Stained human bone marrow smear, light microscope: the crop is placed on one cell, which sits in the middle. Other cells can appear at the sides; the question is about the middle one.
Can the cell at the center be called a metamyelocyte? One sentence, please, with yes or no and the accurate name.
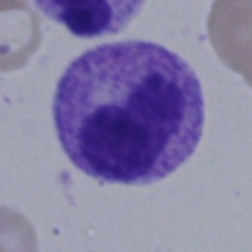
Yes, the cell in the centre is a metamyelocyte.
